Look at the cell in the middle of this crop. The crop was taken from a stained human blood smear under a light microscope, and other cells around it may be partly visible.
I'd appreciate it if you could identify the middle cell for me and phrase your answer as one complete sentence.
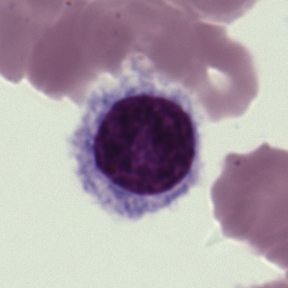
This particular crop is centered on a hairy cell.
